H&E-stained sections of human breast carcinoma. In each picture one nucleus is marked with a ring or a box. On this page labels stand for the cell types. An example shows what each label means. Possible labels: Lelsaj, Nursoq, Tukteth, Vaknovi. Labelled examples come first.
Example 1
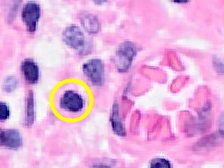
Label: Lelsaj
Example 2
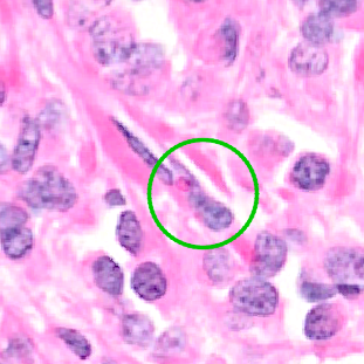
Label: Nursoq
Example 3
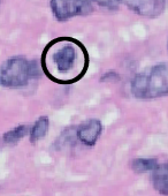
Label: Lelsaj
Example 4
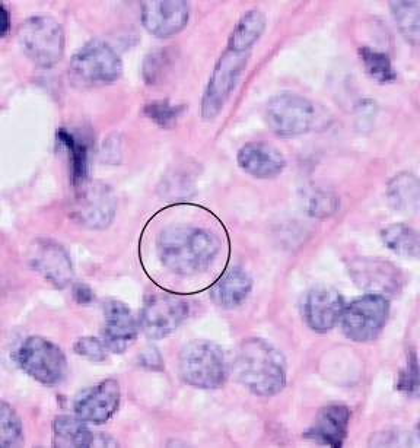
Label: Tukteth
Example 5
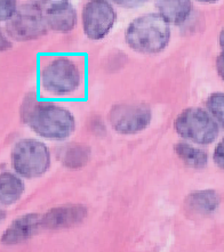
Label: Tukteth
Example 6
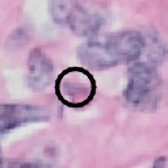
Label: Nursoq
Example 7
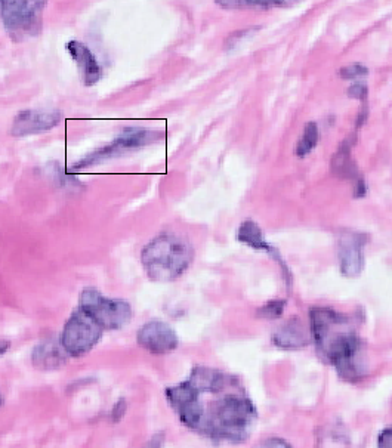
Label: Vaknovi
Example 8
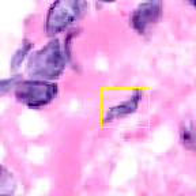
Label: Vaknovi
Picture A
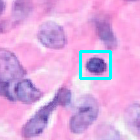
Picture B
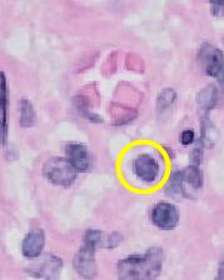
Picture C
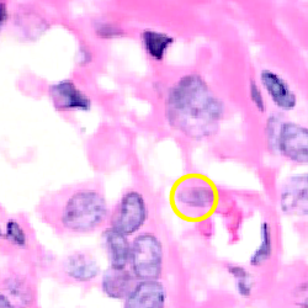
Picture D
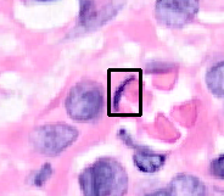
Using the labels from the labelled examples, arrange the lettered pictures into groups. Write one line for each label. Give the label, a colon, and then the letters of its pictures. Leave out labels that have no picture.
Lelsaj: A, B
Nursoq: C, D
